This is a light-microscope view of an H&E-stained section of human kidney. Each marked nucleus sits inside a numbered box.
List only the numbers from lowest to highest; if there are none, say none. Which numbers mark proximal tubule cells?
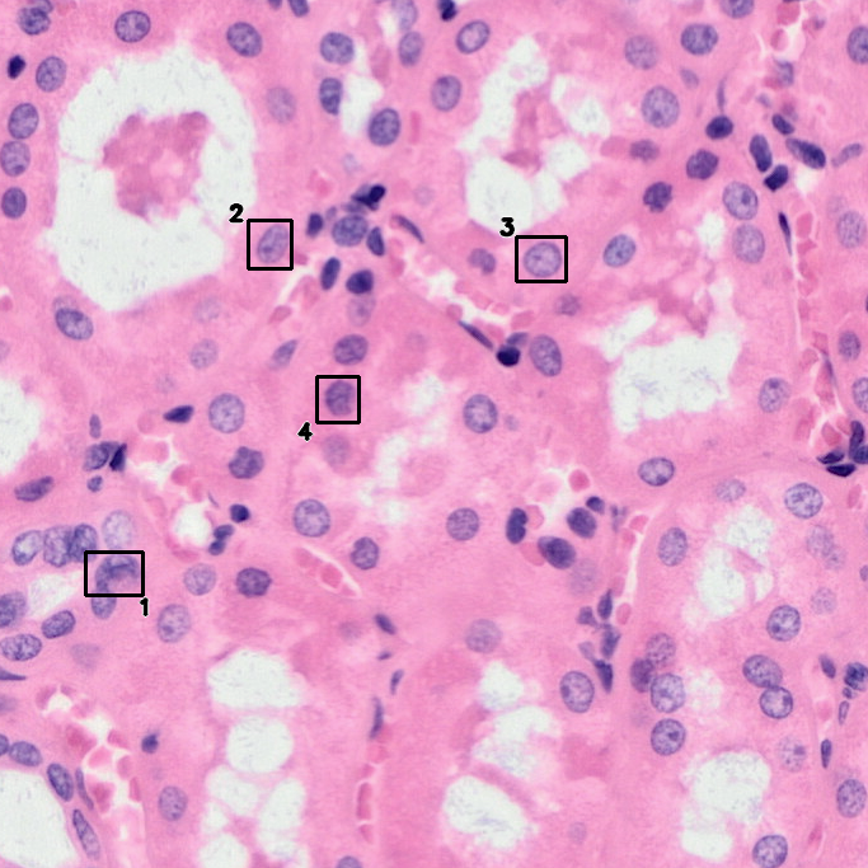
2, 3, 4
